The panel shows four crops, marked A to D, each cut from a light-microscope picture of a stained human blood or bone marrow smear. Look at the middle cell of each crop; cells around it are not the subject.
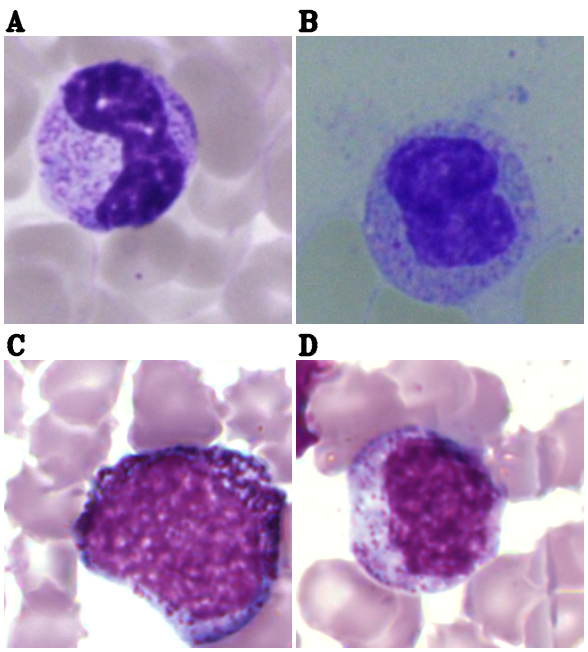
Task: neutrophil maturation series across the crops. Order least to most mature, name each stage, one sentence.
Ranking by maturity from lowest to highest gives crop C (a promyelocyte), crop D (a myelocyte), crop B (a metamyelocyte) and crop A (a band neutrophil).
